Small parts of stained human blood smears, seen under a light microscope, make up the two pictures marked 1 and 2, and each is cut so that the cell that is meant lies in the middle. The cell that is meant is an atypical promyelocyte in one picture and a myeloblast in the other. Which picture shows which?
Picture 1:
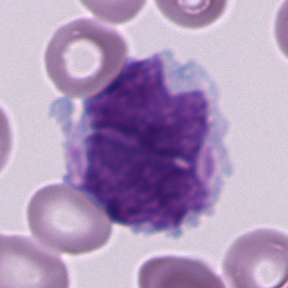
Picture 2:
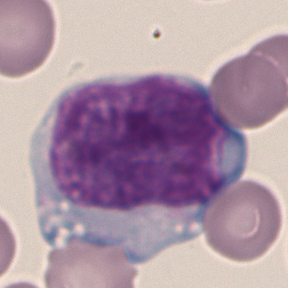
1: atypical promyelocyte
2: myeloblast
